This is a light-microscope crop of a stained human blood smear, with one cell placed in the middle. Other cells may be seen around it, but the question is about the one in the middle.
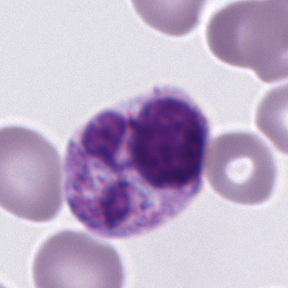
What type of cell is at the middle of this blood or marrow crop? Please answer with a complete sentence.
In the crop, the cell of interest at the centre is a basophil.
